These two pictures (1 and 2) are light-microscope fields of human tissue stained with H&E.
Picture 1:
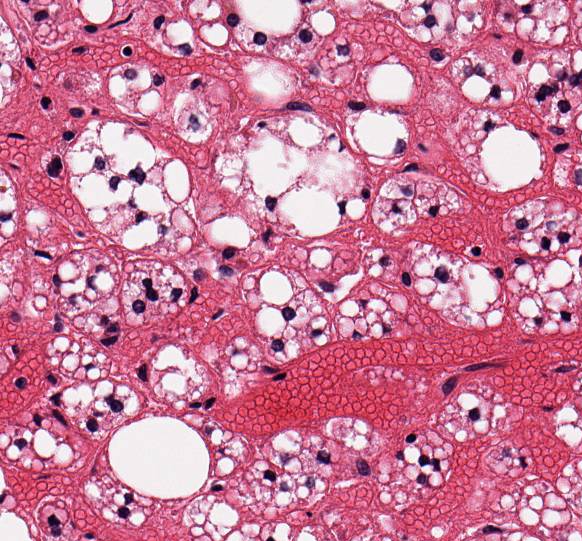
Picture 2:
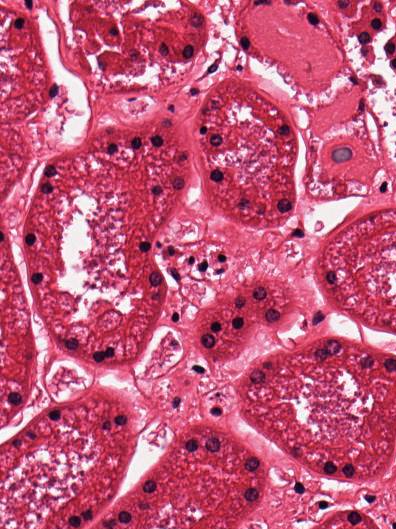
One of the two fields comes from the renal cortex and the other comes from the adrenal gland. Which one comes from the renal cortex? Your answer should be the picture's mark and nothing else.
2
